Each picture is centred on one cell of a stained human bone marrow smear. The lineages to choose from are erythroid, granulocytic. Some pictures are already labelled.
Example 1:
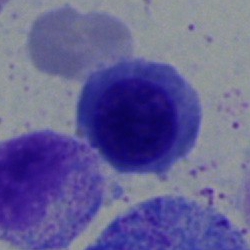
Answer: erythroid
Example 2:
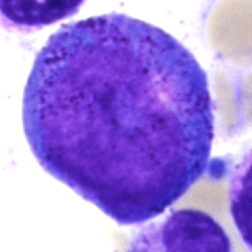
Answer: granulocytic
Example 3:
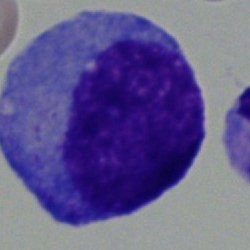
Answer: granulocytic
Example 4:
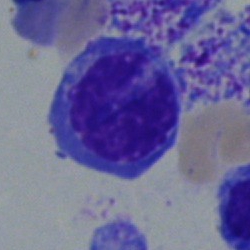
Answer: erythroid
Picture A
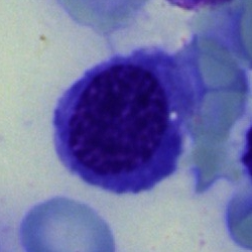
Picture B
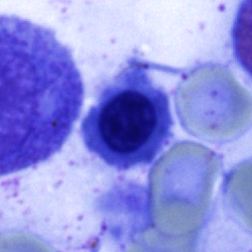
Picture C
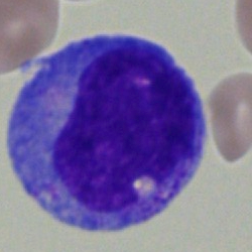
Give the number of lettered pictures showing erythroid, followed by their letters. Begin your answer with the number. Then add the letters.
Count: 2 (A, B)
